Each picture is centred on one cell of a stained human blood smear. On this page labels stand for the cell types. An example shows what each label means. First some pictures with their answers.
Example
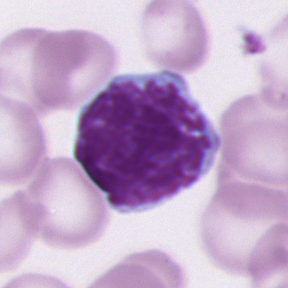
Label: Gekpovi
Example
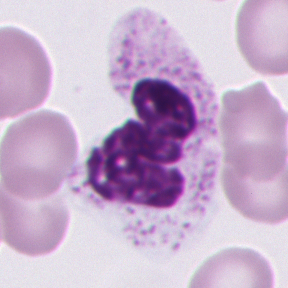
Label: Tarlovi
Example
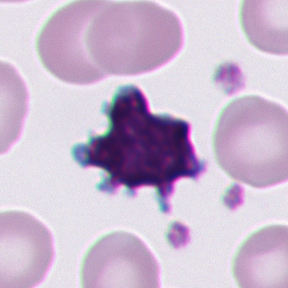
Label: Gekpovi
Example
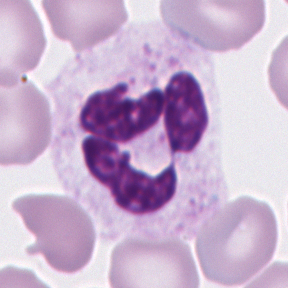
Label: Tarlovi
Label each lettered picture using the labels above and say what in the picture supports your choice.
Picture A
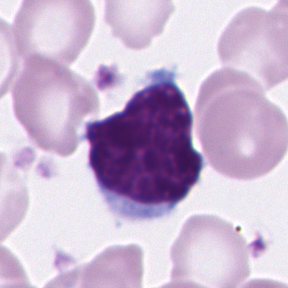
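Gekpovi: The scant cytoplasm lies mostly as a crescent along the lower edge of the cell.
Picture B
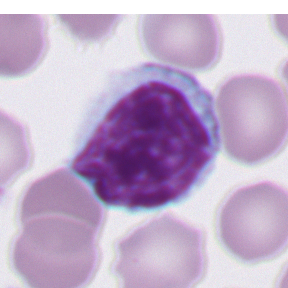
Gekpovi: The cytoplasm forms only a narrow rim around the nucleus.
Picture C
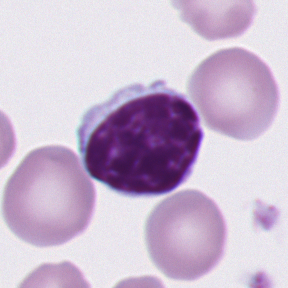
Gekpovi: The cytoplasm forms only a thin rim, seen mainly along the upper-left side of the nucleus.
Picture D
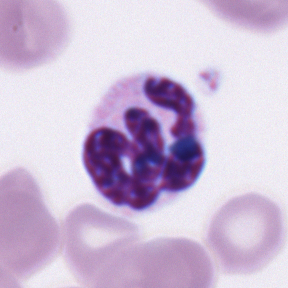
Tarlovi: The nucleus is divided into several curved lobes joined to one another.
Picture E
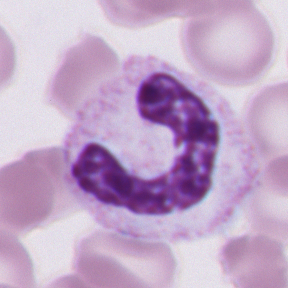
Tarlovi: The cytoplasm is plentiful and pale pinkish-lilac.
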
